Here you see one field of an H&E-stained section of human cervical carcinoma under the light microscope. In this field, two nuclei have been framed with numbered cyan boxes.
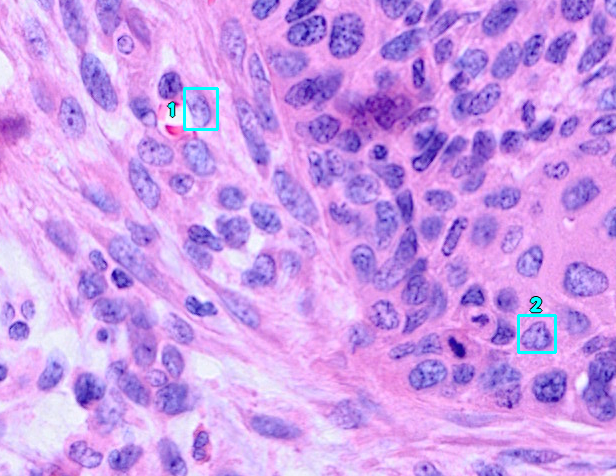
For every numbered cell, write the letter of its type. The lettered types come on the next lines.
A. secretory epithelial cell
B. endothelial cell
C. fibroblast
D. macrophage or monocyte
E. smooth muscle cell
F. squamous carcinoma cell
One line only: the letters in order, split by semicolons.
B; F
